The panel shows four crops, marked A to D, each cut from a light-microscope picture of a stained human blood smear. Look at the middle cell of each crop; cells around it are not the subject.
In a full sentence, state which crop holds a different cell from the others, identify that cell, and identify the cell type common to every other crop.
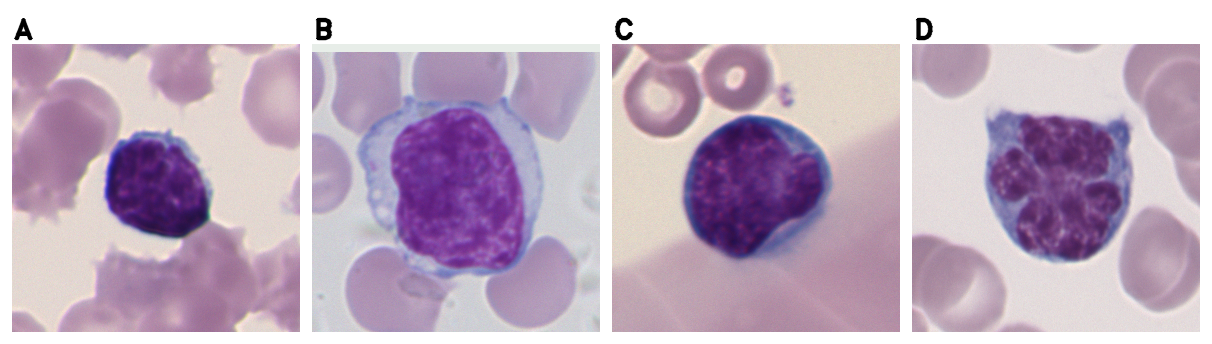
Whereas the other crops show myeloblasts, crop A is a typical lymphocyte.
